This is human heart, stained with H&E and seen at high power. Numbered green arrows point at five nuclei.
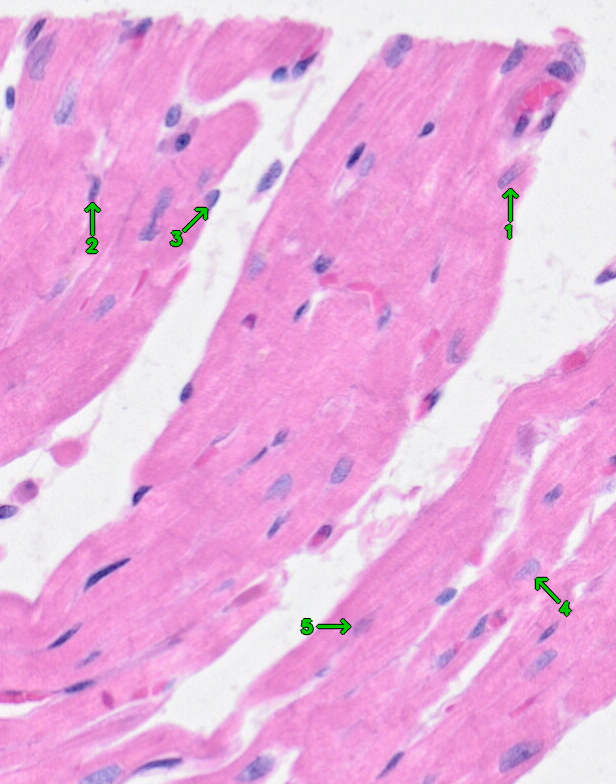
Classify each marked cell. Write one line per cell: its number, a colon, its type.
1: cardiomyocyte
2: endothelial cell
3: fibroblast
4: cardiomyocyte
5: cardiomyocyte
